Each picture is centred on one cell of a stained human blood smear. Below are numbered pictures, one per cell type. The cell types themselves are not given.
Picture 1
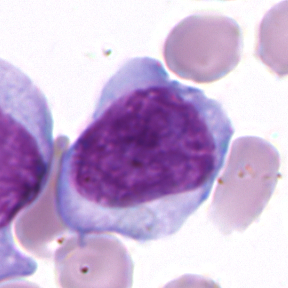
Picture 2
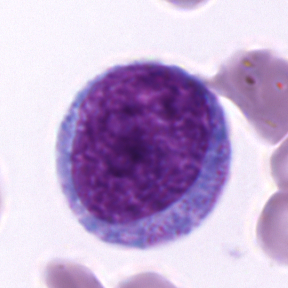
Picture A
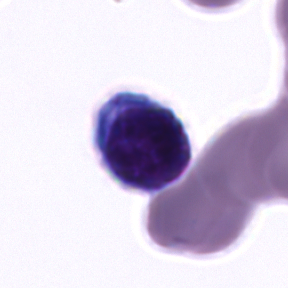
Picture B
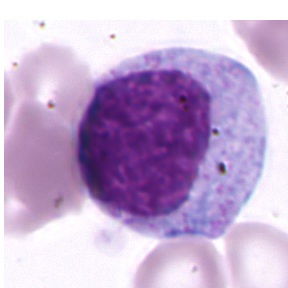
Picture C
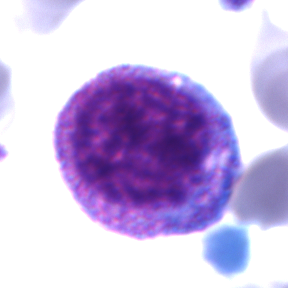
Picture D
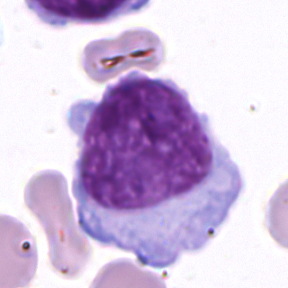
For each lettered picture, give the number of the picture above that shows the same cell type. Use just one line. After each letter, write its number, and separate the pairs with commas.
A 1, B 2, C 2, D 1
